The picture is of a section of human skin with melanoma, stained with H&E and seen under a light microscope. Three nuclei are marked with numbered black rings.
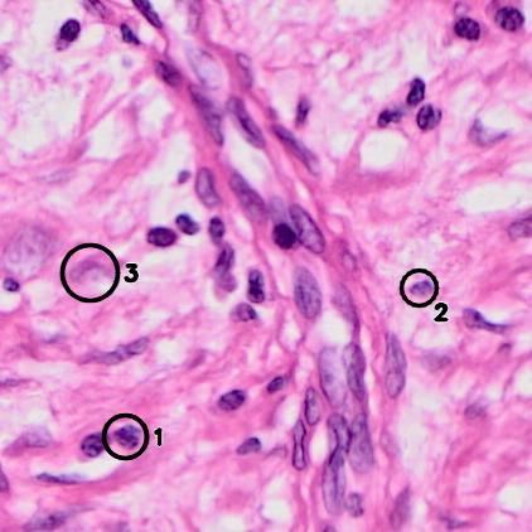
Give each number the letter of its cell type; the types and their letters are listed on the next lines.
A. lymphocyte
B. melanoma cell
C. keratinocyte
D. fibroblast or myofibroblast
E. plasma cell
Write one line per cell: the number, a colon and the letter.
1: A
2: A
3: D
